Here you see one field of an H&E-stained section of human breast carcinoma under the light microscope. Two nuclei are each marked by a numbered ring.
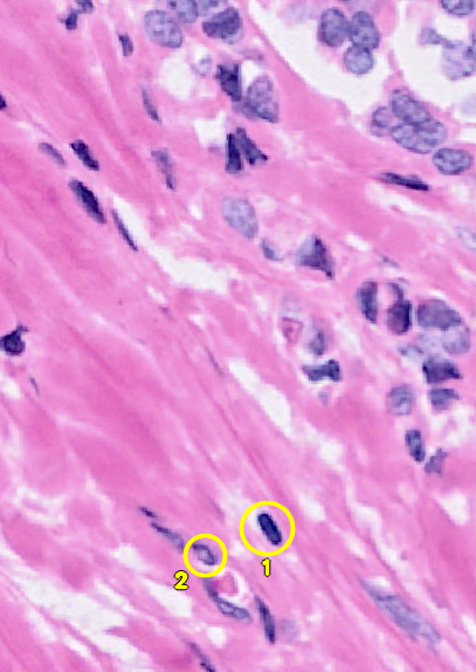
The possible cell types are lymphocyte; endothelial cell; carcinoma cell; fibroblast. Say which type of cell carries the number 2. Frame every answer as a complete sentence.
It is as an endothelial cell that the cell numbered 2 is identified.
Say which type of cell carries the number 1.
The cell with the number 1 is a lymphocyte.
